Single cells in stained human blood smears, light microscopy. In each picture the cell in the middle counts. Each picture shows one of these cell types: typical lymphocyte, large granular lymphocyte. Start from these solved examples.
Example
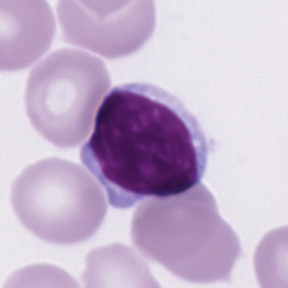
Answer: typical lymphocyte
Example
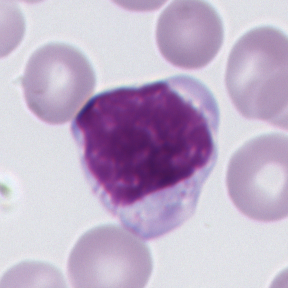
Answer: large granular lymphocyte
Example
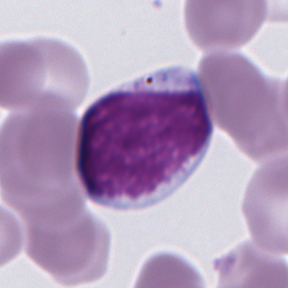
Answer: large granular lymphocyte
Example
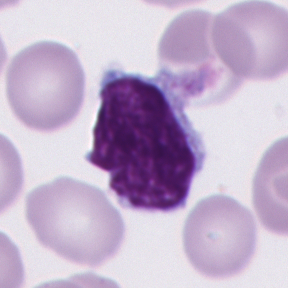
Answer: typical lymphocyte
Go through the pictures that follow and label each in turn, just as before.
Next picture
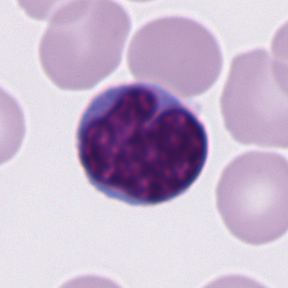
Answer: typical lymphocyte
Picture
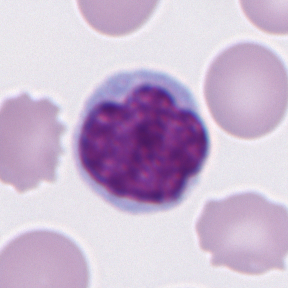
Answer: typical lymphocyte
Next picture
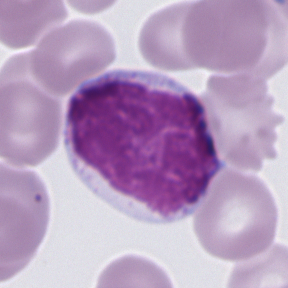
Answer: large granular lymphocyte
